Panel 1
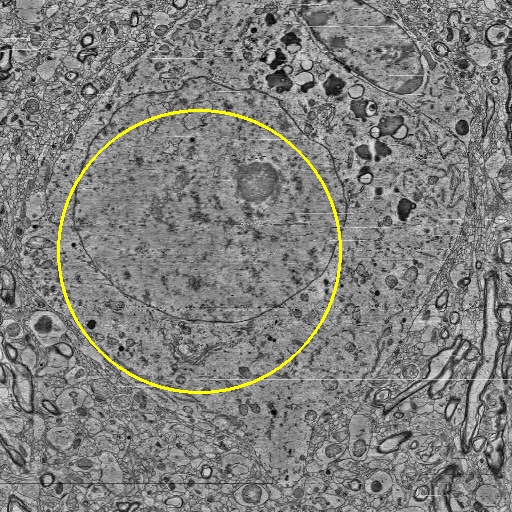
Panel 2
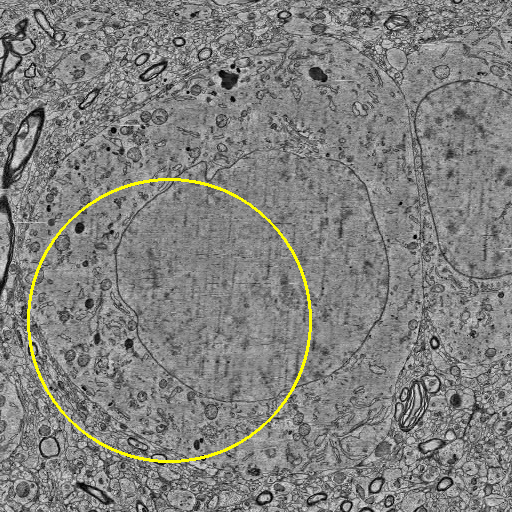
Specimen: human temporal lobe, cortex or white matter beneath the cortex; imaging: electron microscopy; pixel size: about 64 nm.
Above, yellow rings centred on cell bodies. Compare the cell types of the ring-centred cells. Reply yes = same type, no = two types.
yes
